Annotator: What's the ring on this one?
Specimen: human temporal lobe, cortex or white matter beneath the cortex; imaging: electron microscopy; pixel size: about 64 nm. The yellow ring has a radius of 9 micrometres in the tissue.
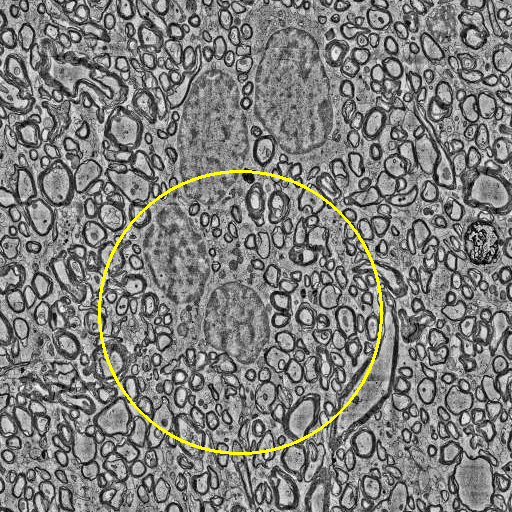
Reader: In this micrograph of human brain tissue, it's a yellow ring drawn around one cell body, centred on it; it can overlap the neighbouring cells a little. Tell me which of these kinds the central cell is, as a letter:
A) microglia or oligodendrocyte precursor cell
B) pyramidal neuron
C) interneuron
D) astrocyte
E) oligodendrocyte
E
